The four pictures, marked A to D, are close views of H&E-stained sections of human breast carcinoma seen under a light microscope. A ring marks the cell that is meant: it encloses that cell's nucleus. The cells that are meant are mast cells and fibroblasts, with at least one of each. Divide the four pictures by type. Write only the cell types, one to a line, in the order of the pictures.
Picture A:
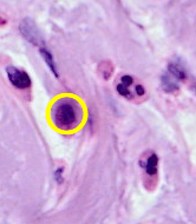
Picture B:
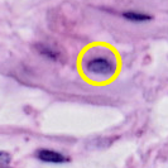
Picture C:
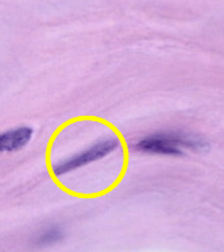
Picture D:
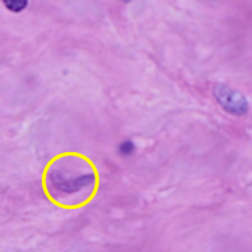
mast cell
mast cell
fibroblast
fibroblast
